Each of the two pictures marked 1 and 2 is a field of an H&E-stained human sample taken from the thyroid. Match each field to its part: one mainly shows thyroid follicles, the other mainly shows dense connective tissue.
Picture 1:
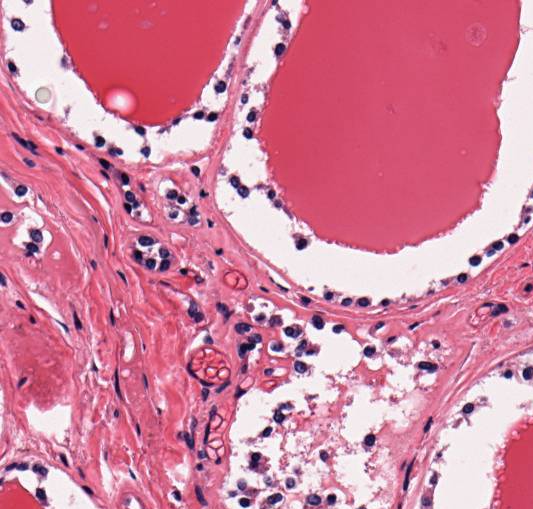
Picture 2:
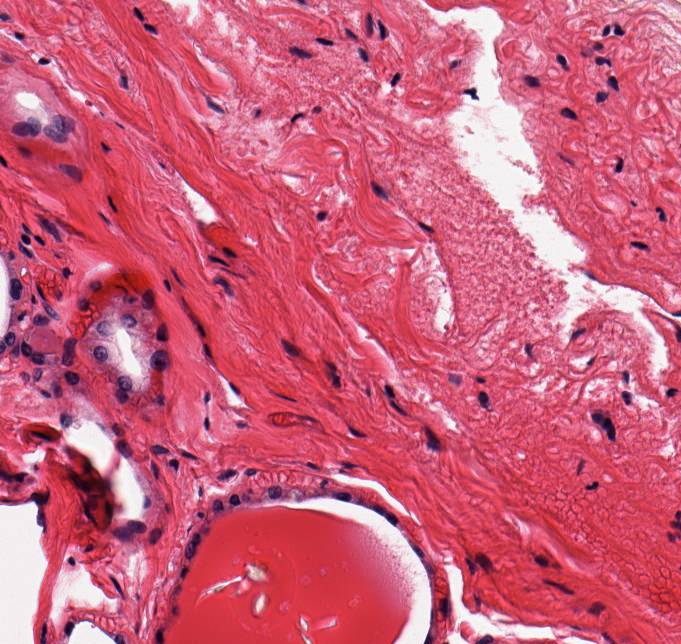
1: thyroid follicles
2: dense connective tissue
